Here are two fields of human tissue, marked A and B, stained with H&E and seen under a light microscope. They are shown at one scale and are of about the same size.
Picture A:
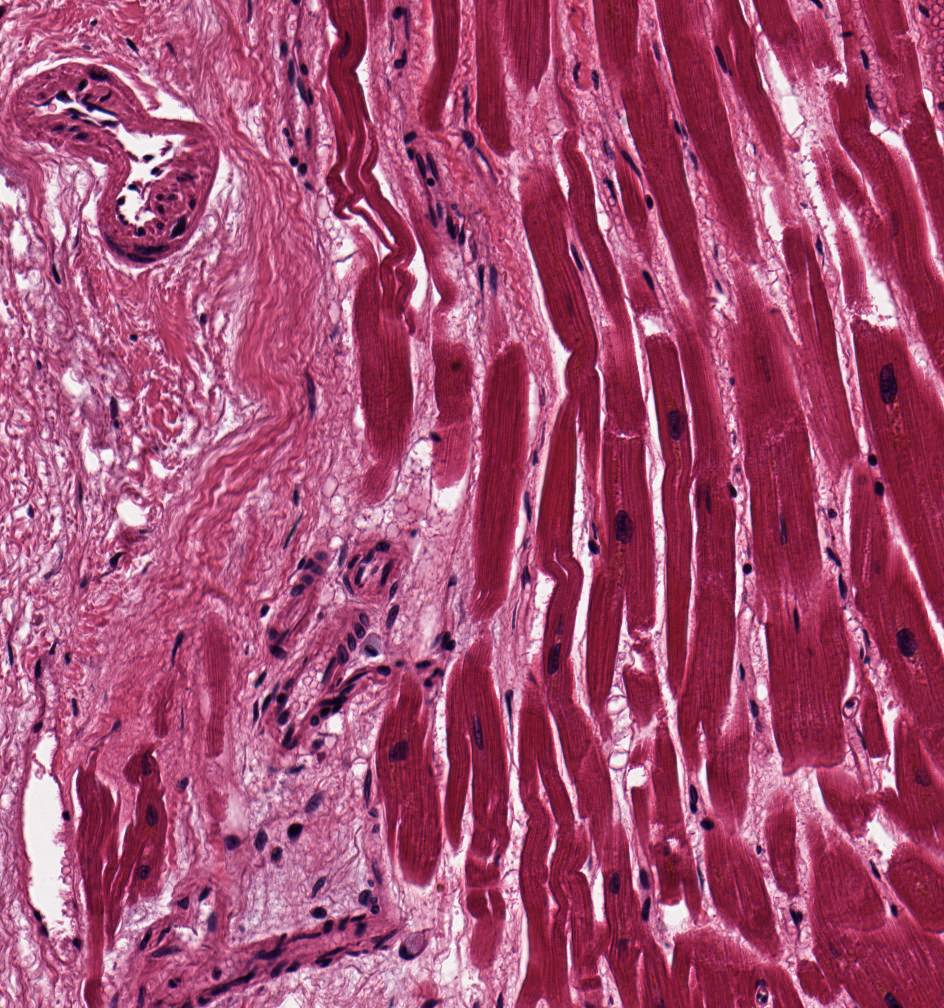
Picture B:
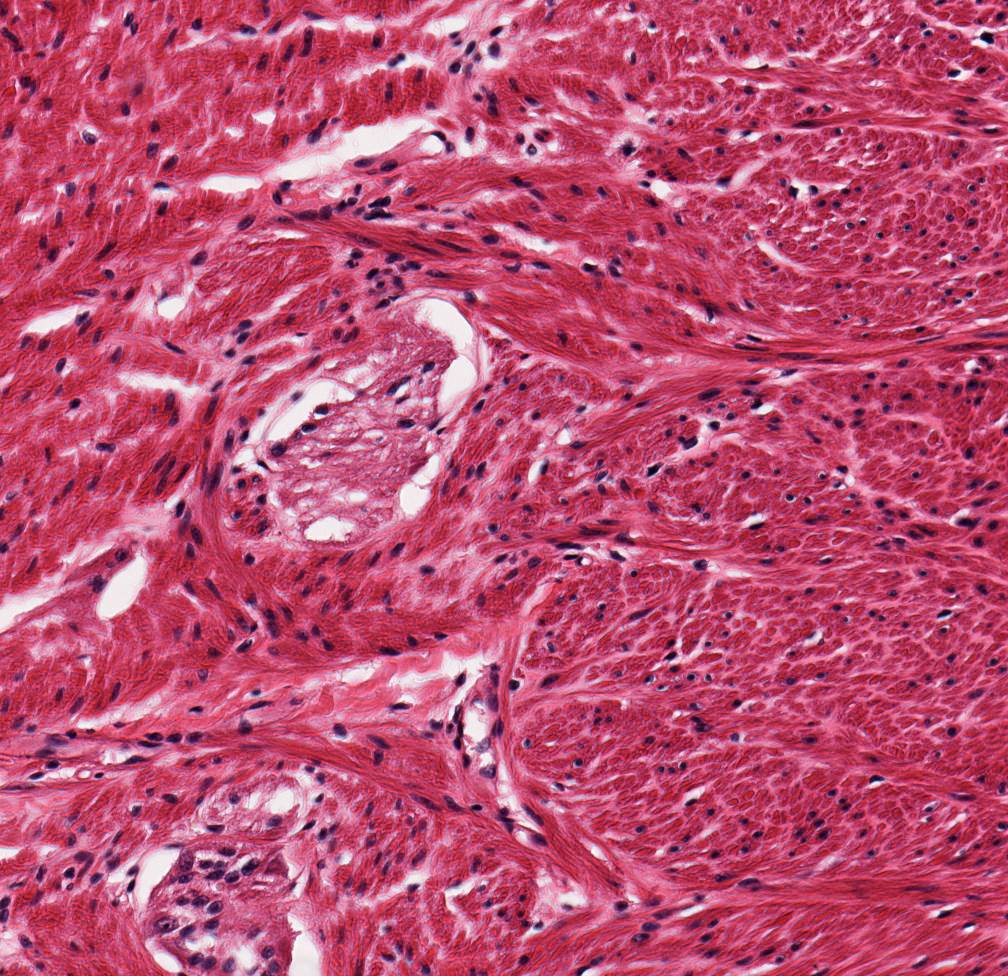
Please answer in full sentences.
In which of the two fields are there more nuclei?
It is picture B that has more nuclei in it.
